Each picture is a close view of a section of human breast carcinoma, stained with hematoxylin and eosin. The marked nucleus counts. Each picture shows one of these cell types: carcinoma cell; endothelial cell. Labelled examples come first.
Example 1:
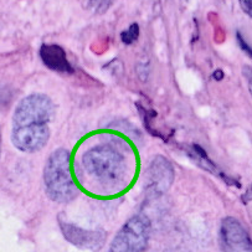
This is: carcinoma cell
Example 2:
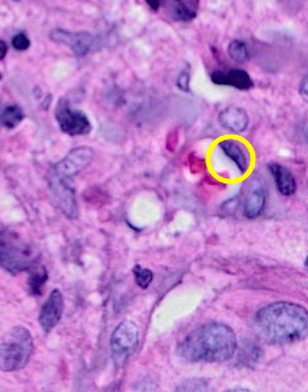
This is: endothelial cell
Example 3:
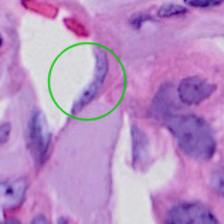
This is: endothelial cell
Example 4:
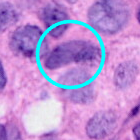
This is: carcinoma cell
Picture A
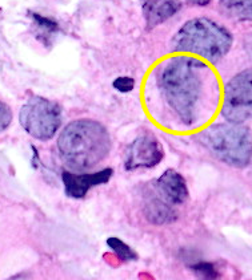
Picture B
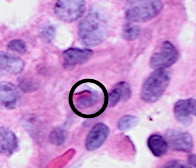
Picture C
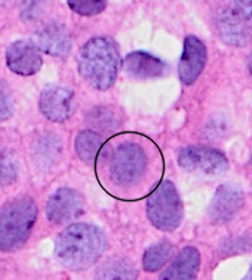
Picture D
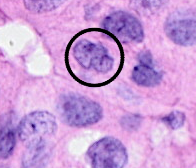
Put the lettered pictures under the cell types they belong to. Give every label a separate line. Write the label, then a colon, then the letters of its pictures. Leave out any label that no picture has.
carcinoma cell: A, C, D
endothelial cell: B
